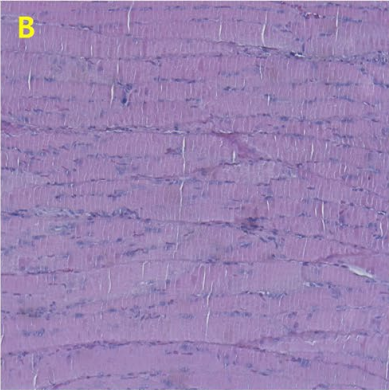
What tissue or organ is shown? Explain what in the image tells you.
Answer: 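Muscle. Long, parallel, tightly packed fibers run across the panel. Fibers have pink-stained cytoplasm. Elongated dark nuclei lie along the edges of the fibers.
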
